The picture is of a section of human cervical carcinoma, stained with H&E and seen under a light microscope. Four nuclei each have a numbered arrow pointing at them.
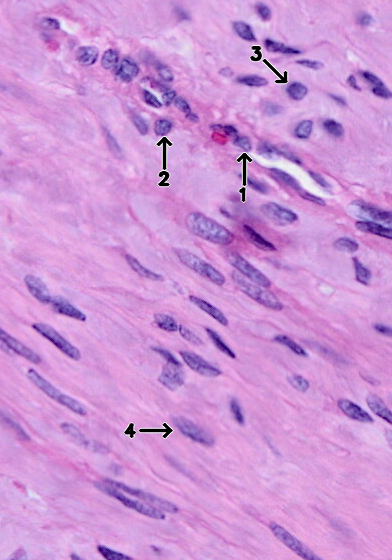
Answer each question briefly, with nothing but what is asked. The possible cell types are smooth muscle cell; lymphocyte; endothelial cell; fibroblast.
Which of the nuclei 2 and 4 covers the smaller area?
2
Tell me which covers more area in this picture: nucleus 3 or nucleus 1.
3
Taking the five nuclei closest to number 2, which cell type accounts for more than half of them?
endothelial cell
